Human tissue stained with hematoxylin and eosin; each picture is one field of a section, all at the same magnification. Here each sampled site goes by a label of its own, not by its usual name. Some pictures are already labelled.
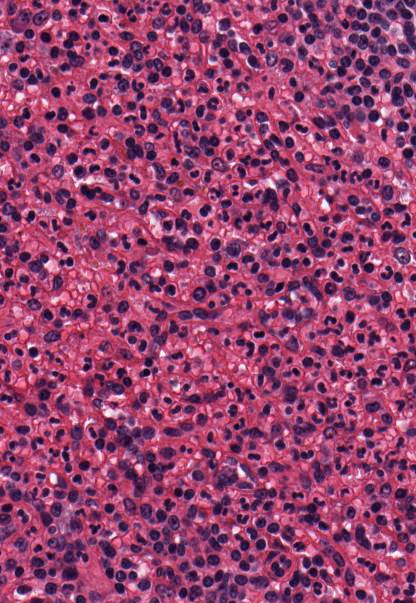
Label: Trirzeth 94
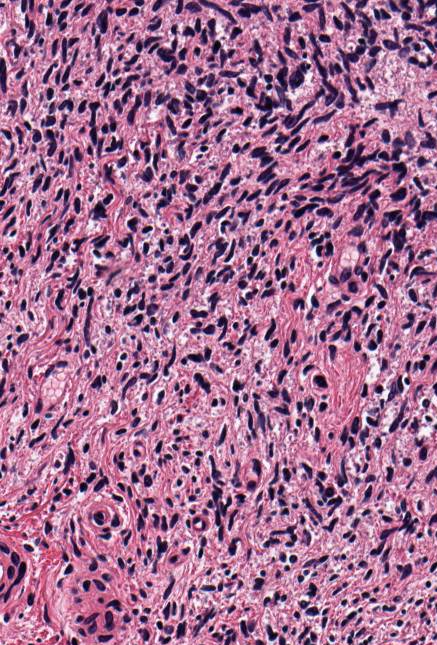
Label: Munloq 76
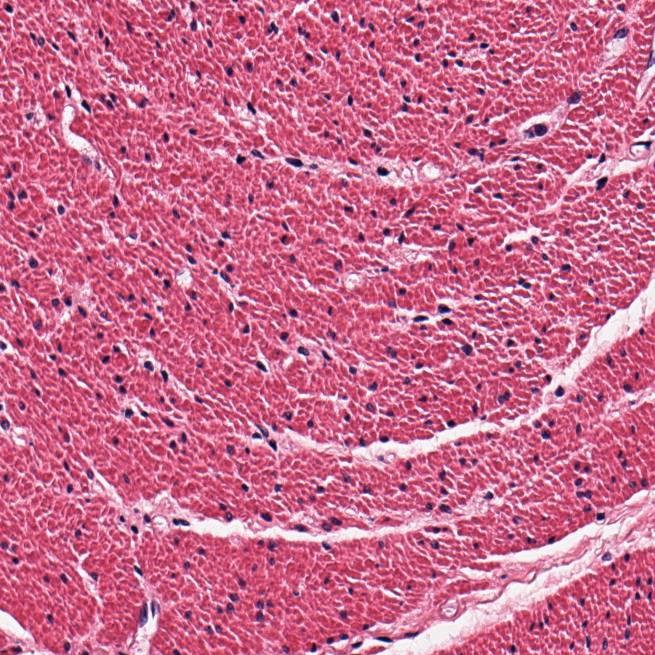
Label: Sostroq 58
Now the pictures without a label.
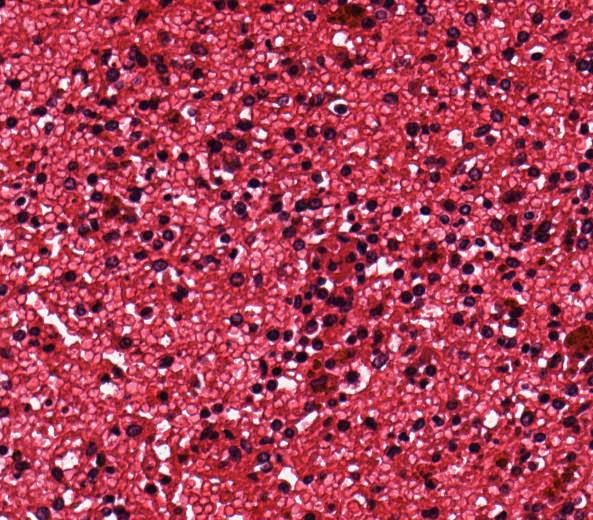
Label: Trirzeth 94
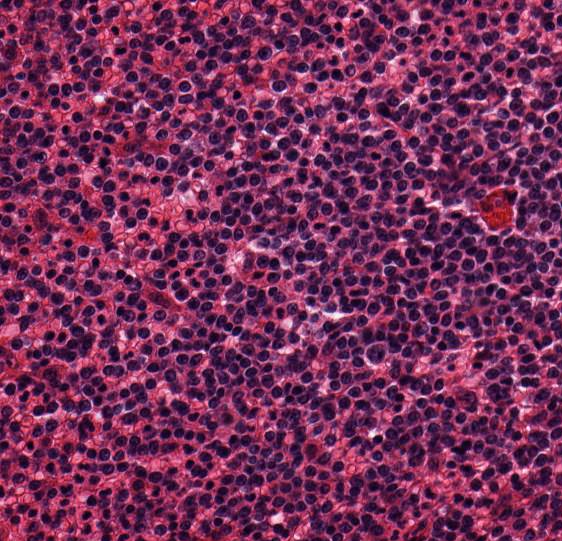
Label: Trirzeth 94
